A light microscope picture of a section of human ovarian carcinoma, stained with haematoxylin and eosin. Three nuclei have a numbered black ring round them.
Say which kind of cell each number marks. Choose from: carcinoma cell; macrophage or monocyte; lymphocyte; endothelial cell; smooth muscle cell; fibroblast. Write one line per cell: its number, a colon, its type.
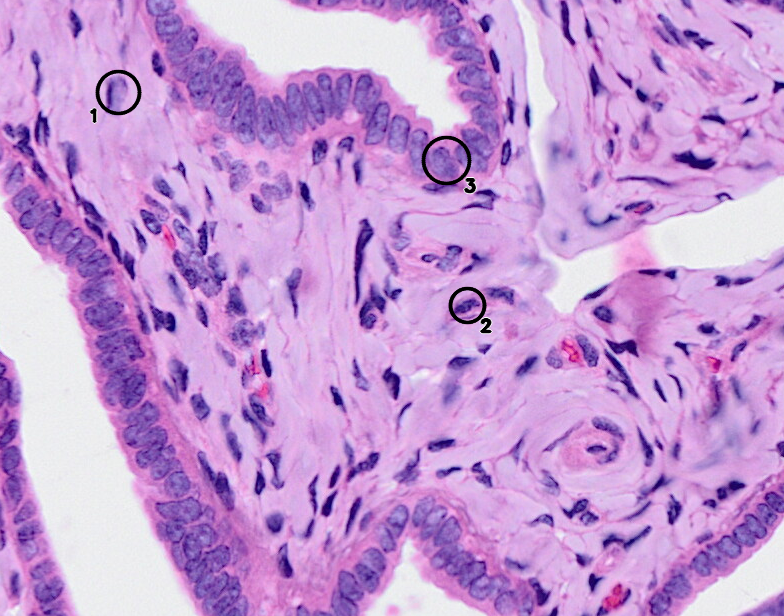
1: fibroblast
2: endothelial cell
3: carcinoma cell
